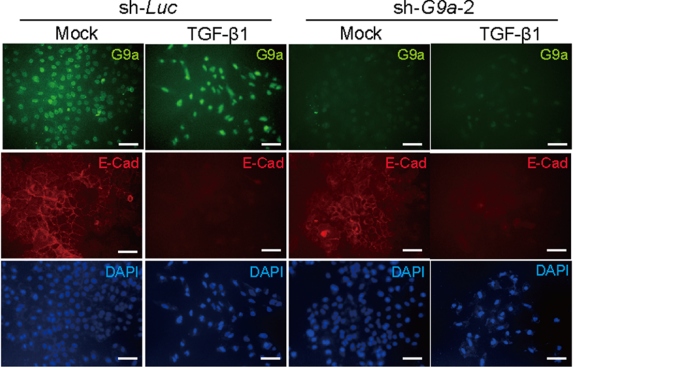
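These are cultured cells shown as a grid of fluorescence images in three rows, with the top row showing green staining that fills round nuclei, bright in the first two columns and faint in the last two. In the middle row, red staining outlines the borders between closely packed cells in a honeycomb pattern in the first and third columns, and is nearly absent in the others. The bottom row shows round to oval blue nuclei, crowded in the first and third columns and more scattered in the second and fourth.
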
